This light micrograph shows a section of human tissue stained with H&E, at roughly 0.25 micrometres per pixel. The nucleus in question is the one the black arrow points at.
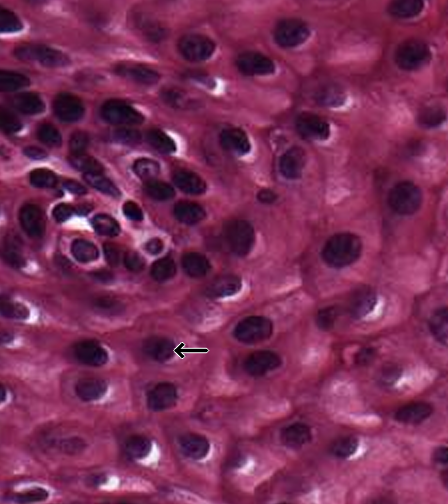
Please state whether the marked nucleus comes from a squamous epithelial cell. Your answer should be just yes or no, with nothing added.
yes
